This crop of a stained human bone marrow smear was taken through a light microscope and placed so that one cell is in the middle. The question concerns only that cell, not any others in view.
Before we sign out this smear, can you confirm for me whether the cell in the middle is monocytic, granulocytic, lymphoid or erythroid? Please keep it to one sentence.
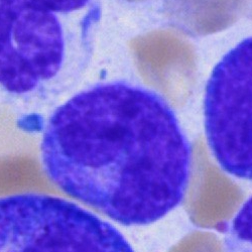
As for the cell in the middle, its lineage is monocytic.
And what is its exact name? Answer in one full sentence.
In the centre of this crop there is a monocyte.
